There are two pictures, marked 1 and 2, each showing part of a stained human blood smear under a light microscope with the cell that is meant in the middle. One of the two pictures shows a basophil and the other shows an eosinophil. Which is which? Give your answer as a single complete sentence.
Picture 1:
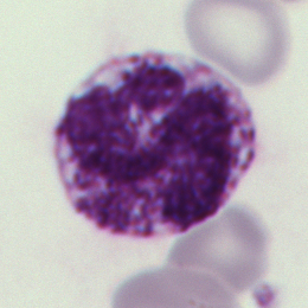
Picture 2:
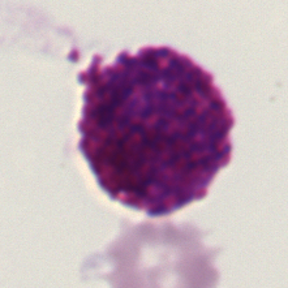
Picture 2 shows an eosinophil, while picture 1 shows a basophil.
